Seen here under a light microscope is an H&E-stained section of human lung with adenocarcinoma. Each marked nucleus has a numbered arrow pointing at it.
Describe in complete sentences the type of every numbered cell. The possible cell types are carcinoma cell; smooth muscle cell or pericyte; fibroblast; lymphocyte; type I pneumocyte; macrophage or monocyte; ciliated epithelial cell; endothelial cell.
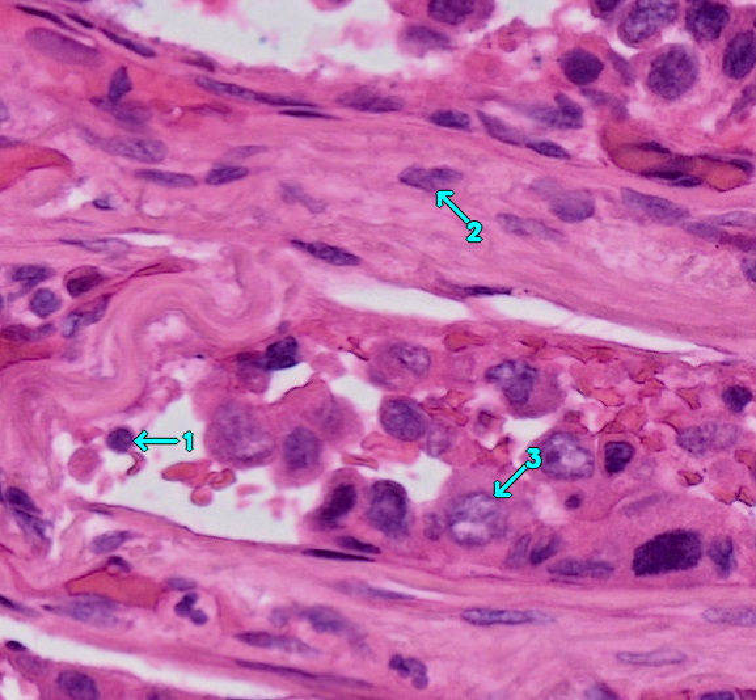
Cell 1 is a lymphocyte, cell 2 is a fibroblast and cell 3 is a carcinoma cell.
